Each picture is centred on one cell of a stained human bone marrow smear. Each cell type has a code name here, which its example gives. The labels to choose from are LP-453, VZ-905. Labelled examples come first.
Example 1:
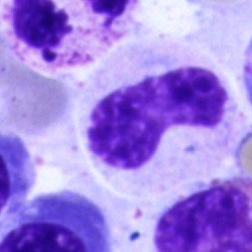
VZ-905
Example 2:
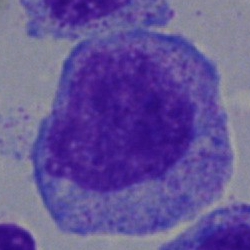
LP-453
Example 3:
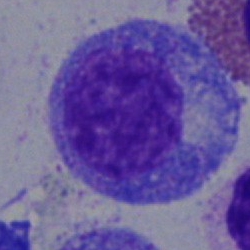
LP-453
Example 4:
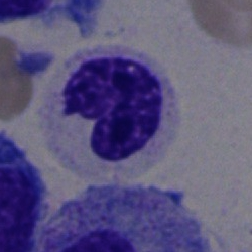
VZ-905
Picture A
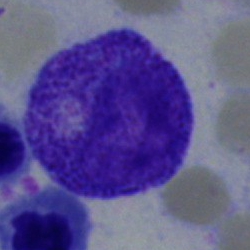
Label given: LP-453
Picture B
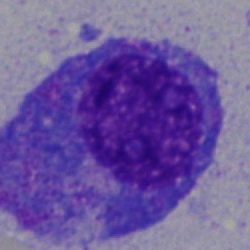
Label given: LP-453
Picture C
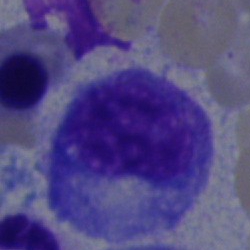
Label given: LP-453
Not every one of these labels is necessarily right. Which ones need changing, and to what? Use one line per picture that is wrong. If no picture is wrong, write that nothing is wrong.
No label is wrong.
